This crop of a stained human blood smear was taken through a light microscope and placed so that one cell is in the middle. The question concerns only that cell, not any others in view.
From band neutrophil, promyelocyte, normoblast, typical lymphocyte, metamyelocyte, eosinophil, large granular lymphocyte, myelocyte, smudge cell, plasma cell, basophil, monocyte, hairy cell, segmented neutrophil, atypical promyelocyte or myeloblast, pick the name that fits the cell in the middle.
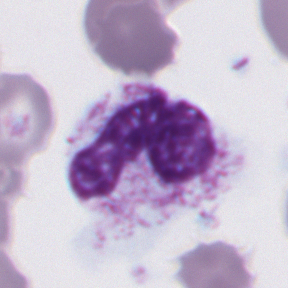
segmented neutrophil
